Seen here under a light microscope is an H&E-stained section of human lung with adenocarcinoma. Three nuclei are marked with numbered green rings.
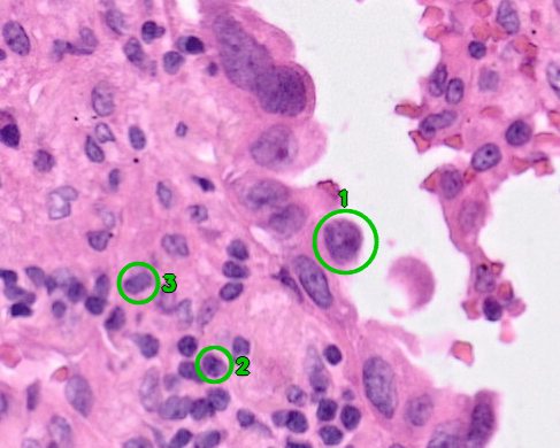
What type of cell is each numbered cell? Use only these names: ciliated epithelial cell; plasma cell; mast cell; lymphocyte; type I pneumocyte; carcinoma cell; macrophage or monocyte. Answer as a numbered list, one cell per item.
1. carcinoma cell
2. lymphocyte
3. lymphocyte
